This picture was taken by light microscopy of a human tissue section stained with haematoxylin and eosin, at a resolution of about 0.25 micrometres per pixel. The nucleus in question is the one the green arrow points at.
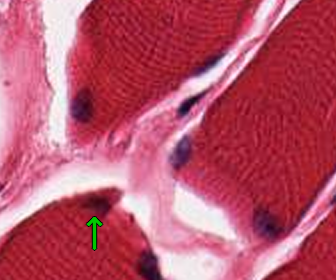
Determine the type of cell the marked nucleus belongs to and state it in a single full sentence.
Indicated by the mark is a nucleus that belongs to a skeletal muscle fibre.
